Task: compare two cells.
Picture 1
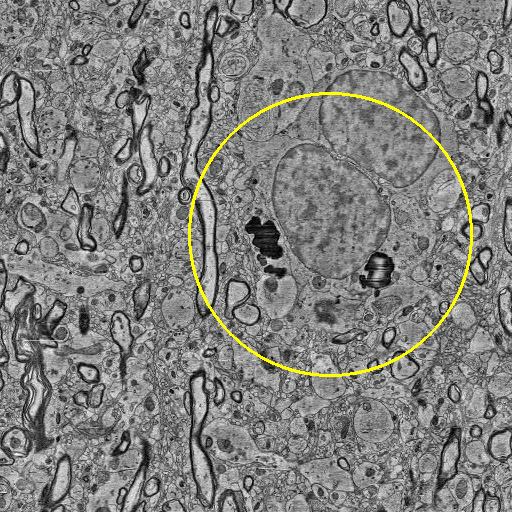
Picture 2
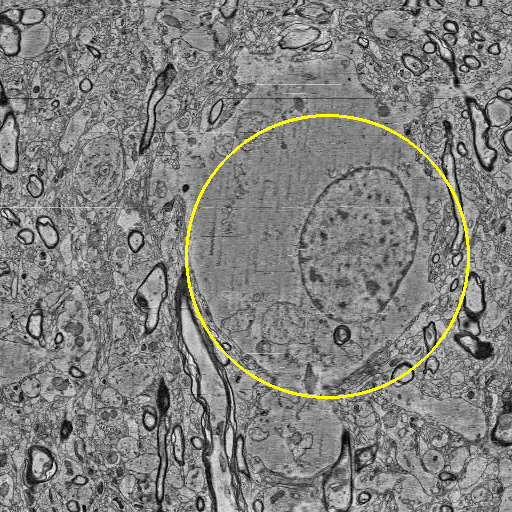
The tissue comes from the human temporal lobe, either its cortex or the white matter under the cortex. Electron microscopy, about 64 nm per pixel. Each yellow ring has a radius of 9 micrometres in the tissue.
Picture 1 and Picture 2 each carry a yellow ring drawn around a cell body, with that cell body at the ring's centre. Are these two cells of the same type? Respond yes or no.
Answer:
no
